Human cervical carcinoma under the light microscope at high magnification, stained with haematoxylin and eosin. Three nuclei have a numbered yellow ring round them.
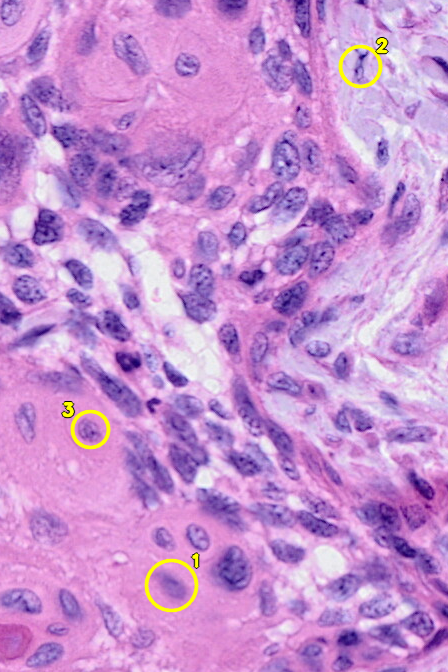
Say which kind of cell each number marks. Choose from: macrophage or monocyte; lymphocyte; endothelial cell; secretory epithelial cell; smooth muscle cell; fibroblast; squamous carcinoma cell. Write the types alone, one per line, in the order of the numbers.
squamous carcinoma cell
fibroblast
squamous carcinoma cell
